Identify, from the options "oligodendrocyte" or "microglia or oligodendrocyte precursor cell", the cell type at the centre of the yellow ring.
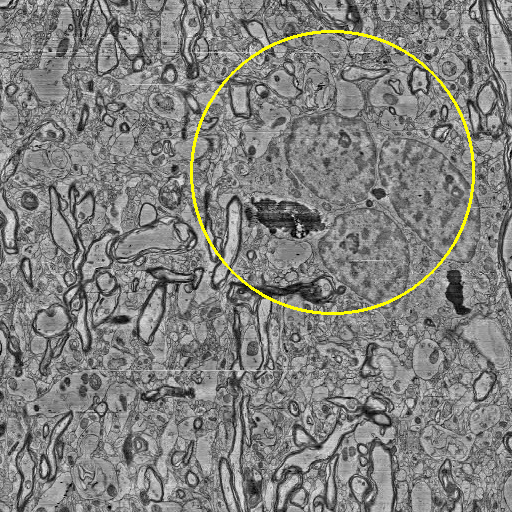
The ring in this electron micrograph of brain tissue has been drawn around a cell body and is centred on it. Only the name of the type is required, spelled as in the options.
oligodendrocyte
